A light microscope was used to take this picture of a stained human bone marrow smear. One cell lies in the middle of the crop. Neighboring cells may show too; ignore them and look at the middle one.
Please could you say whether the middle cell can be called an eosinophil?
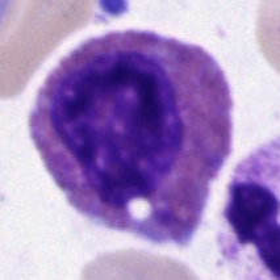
yes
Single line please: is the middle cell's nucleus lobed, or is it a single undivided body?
There is one compact nucleus, and its shape is round, oval or kidney-like.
